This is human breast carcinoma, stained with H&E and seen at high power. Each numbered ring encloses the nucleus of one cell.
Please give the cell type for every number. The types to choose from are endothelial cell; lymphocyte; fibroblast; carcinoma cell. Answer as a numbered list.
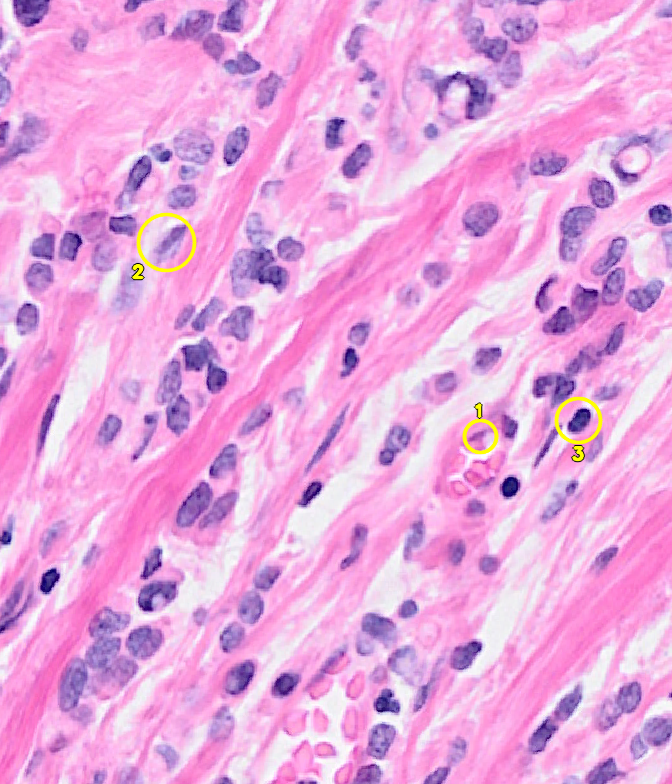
1. endothelial cell
2. fibroblast
3. lymphocyte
